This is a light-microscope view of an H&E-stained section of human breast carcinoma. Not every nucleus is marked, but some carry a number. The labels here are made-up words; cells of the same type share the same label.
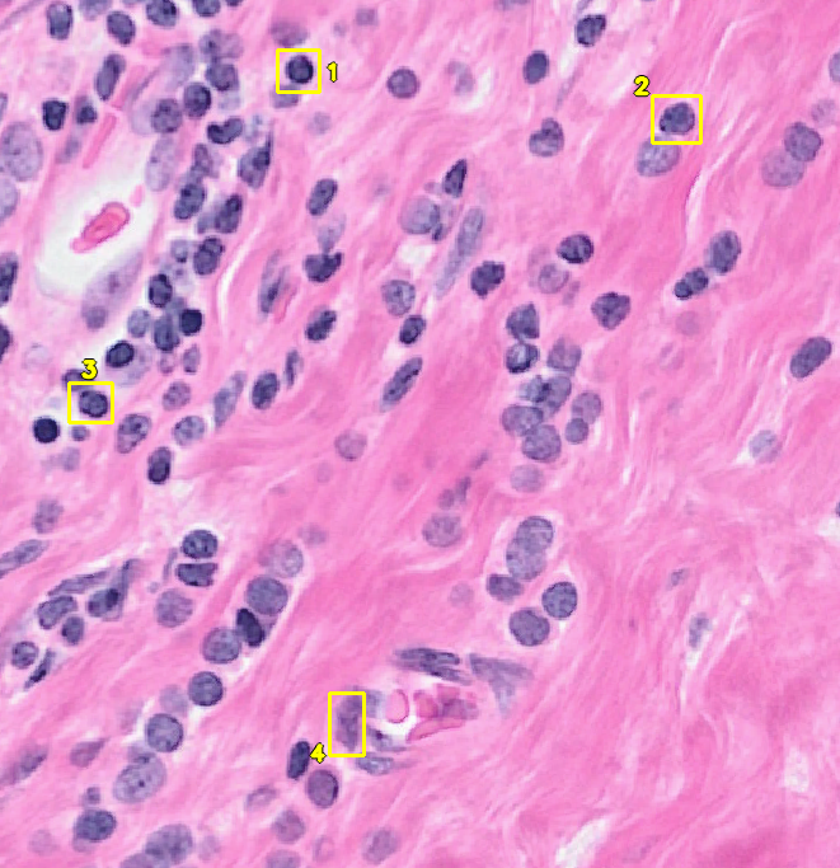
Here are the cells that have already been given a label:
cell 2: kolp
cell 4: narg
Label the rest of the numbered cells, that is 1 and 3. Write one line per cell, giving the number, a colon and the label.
1: kolp
3: kolp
